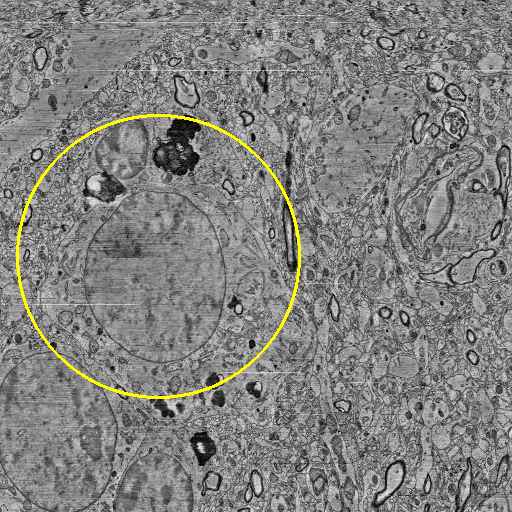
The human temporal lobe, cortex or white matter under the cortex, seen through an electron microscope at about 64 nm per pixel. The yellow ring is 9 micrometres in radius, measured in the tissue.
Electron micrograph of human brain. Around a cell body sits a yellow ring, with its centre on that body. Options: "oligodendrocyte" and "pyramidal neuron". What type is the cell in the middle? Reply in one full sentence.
The cell sitting at the centre of the yellow ring is a pyramidal neuron.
